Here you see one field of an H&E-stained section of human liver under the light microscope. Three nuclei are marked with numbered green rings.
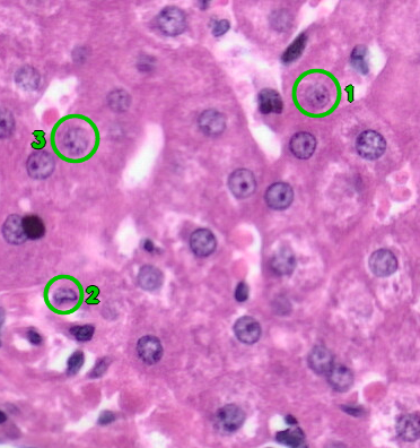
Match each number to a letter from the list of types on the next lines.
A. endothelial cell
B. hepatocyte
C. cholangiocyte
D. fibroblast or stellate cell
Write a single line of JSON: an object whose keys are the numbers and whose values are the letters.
{"1": "B", "2": "D", "3": "B"}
